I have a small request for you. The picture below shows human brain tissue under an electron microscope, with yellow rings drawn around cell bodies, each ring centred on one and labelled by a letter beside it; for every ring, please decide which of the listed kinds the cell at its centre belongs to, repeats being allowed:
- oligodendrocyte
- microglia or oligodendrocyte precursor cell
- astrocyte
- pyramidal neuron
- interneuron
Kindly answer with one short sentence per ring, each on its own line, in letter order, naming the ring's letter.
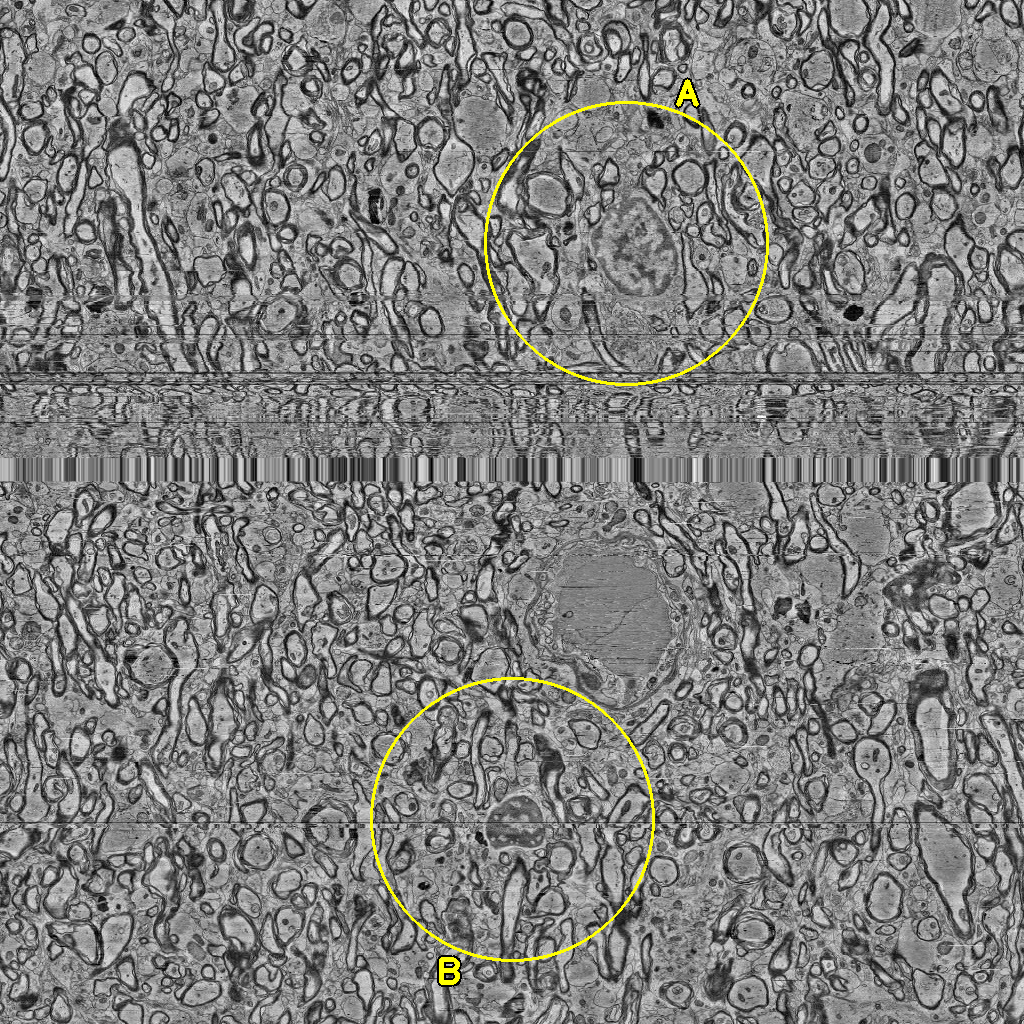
Ring A shows an oligodendrocyte at its centre.
Ring B shows a microglial cell or oligodendrocyte precursor cell at its centre.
